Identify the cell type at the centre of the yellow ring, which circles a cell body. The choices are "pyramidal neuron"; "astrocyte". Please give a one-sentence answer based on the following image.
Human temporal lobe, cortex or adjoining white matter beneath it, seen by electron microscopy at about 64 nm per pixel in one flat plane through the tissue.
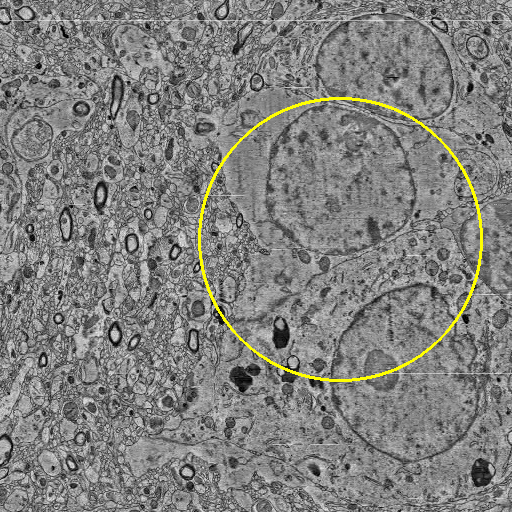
The cell marked by the ring is an astrocyte.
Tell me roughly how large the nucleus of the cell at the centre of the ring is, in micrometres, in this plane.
The nucleus is approximately 10 micrometers across in this plane.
